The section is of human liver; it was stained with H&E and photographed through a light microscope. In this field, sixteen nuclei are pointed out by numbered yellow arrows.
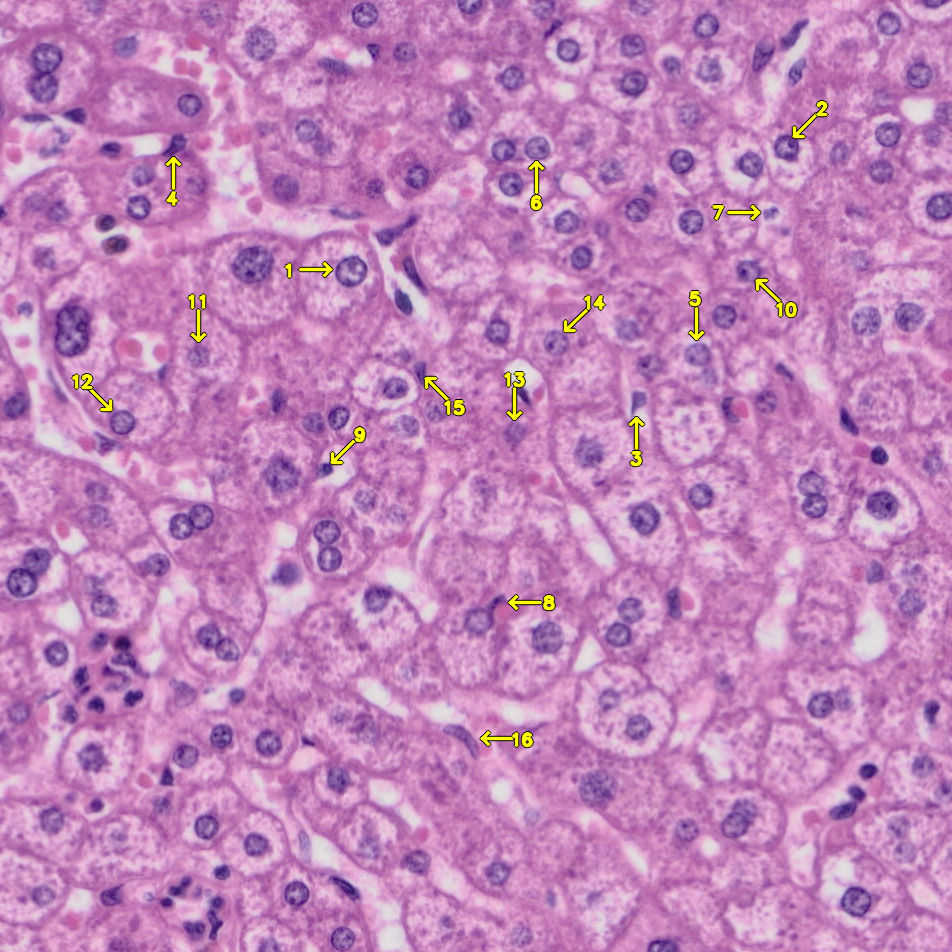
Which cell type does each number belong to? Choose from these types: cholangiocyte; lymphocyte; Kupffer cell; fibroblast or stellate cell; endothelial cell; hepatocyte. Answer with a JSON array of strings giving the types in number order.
["hepatocyte", "hepatocyte", "endothelial cell", "fibroblast or stellate cell", "hepatocyte", "hepatocyte", "lymphocyte", "endothelial cell", "lymphocyte", "hepatocyte", "hepatocyte", "hepatocyte", "hepatocyte", "hepatocyte", "fibroblast or stellate cell", "Kupffer cell"]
